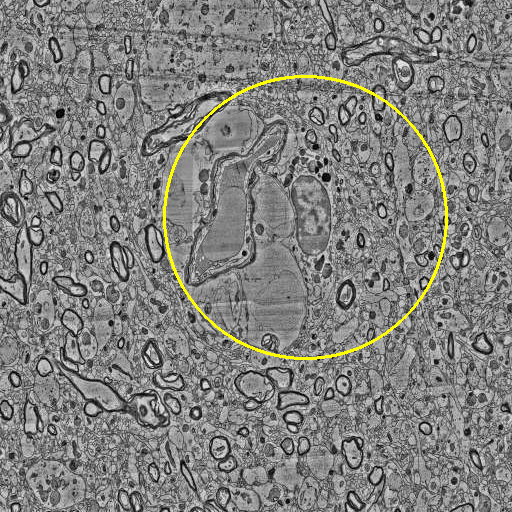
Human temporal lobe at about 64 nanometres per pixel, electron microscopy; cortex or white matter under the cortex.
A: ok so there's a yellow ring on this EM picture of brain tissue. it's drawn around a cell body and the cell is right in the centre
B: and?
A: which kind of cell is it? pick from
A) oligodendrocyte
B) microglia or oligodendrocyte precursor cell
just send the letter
B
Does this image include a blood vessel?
Yes, a blood vessel can be seen.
